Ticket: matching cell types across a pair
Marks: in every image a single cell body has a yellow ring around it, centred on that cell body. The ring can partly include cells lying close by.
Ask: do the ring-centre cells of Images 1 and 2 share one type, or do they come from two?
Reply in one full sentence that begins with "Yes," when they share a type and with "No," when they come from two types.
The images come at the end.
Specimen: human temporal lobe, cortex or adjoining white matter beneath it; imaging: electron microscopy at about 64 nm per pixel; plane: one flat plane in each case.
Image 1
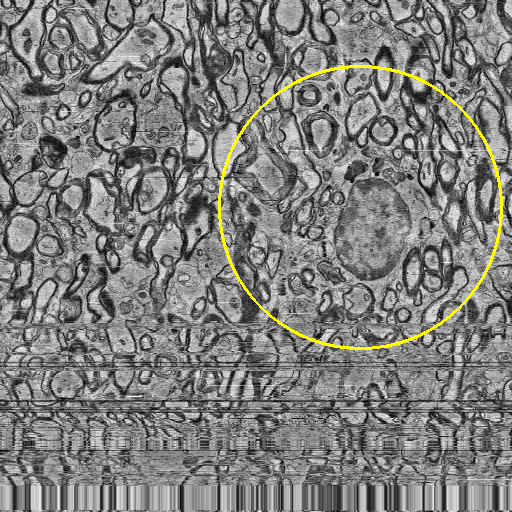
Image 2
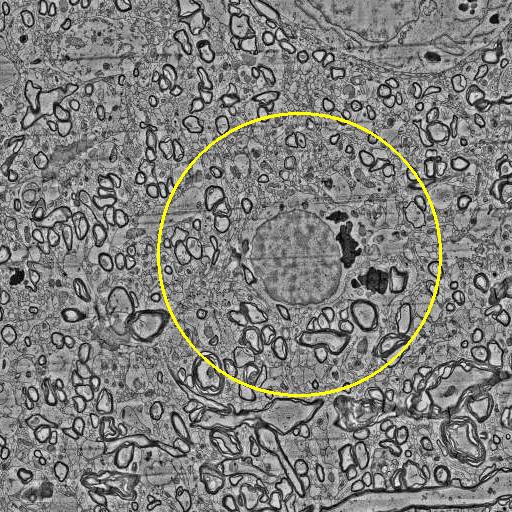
No, the cells in the centres of the rings in Image 1 and Image 2 come from two types.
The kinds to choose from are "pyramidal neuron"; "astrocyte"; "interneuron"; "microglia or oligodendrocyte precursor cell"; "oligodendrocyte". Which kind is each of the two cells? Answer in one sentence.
Of the two, the first cell is a microglial cell or oligodendrocyte precursor cell and the second cell is an oligodendrocyte.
